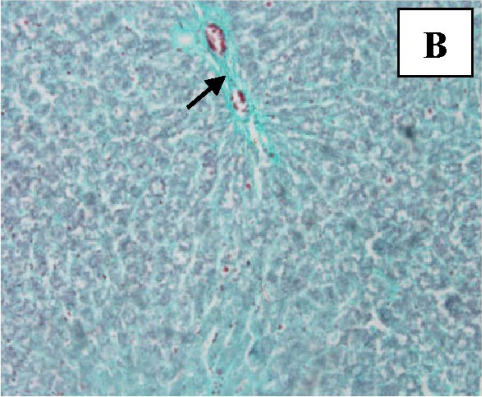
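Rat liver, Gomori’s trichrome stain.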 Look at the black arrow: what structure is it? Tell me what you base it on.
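The arrow points to green-stained fibrous strands around small vessels containing red blood. Thin green strands extend out from this area between the plates of liver cells.
Hence: collagen fibers.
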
